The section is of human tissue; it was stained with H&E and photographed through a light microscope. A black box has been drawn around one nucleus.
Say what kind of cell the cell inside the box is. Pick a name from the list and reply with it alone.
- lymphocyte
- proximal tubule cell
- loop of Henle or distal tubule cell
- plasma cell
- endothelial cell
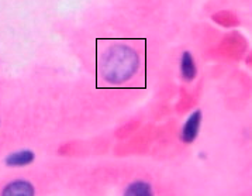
proximal tubule cell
